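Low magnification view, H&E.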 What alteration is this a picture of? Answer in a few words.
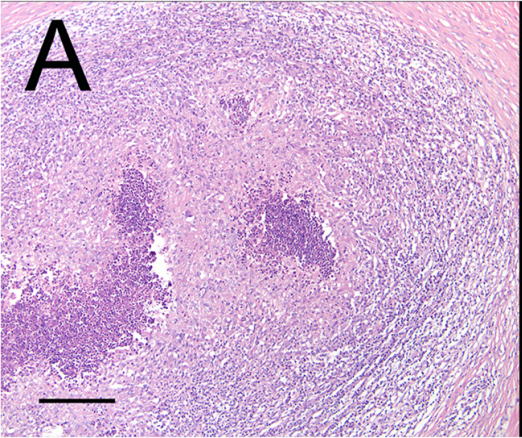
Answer: pyogranulomas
